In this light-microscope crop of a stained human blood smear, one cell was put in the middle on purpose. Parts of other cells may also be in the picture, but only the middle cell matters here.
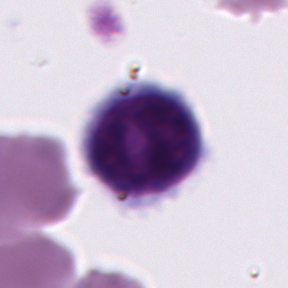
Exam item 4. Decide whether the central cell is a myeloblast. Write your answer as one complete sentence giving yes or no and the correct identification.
No, at the centre of this crop is found a hairy cell instead of a myeloblast.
